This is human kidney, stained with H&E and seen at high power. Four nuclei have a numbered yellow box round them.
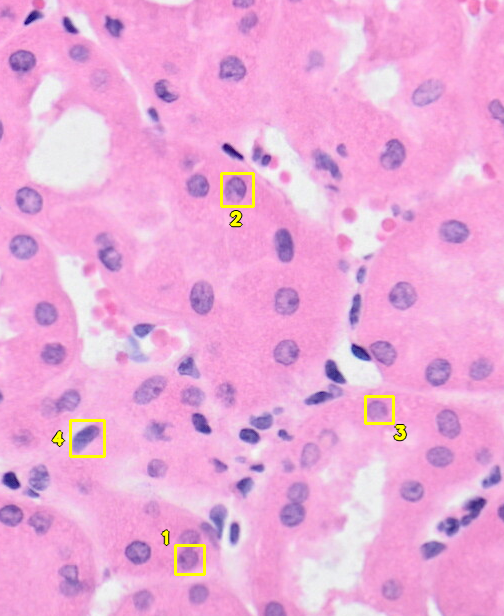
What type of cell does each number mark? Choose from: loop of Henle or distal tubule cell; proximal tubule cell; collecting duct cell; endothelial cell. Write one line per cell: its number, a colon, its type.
1: proximal tubule cell
2: proximal tubule cell
3: proximal tubule cell
4: endothelial cell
